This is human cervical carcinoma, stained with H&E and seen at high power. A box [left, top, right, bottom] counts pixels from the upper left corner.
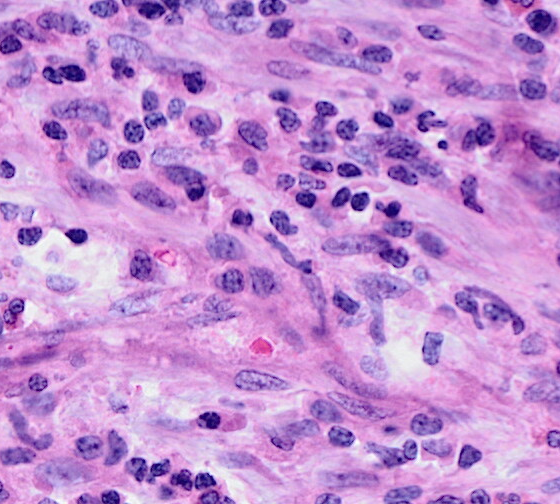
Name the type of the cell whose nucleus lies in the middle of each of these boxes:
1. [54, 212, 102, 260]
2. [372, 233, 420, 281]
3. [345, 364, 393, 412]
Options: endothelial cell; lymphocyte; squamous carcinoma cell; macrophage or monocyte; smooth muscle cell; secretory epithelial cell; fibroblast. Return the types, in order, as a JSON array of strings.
["lymphocyte", "lymphocyte", "endothelial cell"]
